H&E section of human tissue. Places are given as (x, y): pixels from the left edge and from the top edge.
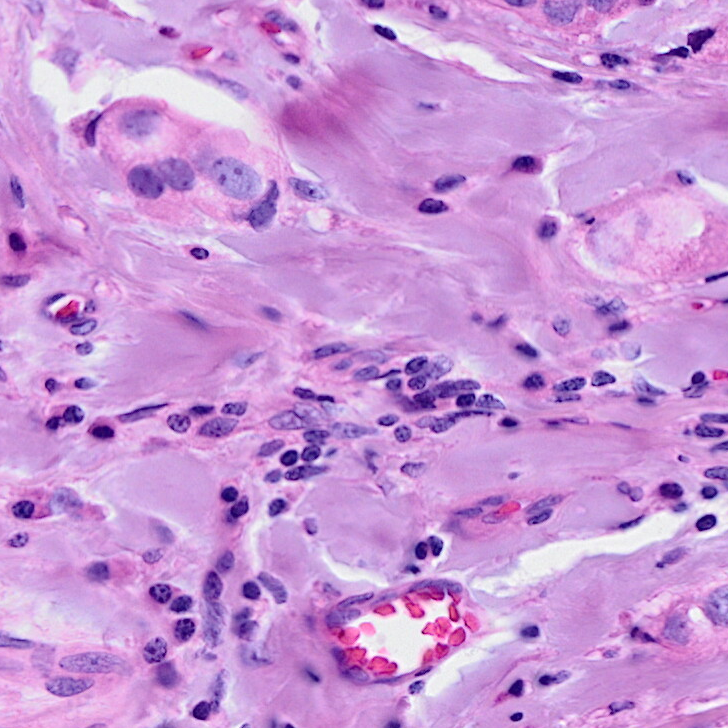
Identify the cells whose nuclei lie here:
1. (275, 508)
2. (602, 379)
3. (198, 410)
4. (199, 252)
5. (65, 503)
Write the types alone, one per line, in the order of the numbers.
lymphocyte
lymphocyte
lymphocyte
mast cell
fibroblast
